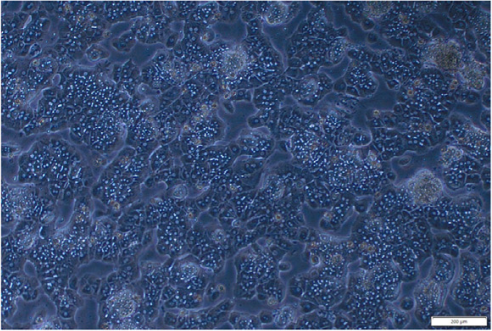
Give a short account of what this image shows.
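Crowded patches of small, rounded, dark-outlined cells are grouped into irregular islands. Between the islands lie paler, flatter regions with indistinct borders. Scattered across the field are a few brighter, refractile, roughly round aggregates where cells appear piled up rather than spread flat. There are no large empty gaps; the cells cover nearly the whole surface. At this scale single cells are small, and fine internal detail of each cell cannot be made out.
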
